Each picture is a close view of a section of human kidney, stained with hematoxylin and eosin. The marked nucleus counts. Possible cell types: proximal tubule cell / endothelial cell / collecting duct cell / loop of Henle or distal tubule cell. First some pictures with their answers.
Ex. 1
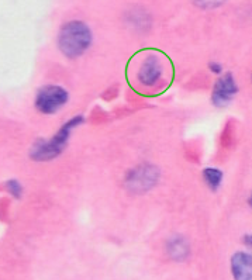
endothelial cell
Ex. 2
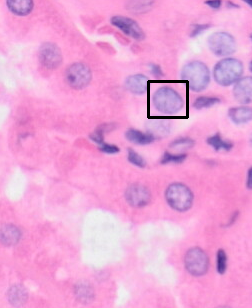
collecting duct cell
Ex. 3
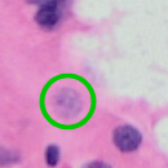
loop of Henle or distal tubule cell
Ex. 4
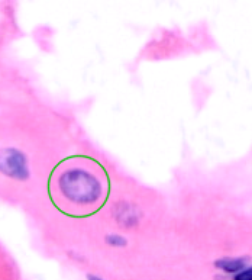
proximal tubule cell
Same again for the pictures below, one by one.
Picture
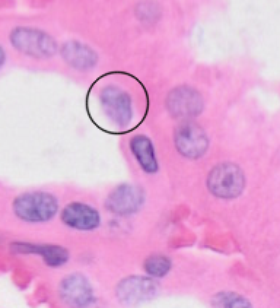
collecting duct cell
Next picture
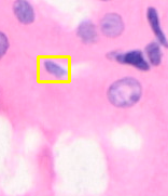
endothelial cell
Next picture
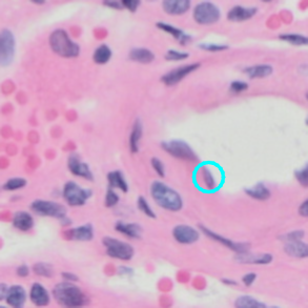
endothelial cell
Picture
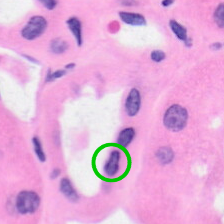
collecting duct cell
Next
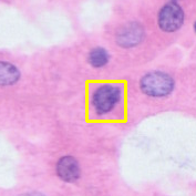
proximal tubule cell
